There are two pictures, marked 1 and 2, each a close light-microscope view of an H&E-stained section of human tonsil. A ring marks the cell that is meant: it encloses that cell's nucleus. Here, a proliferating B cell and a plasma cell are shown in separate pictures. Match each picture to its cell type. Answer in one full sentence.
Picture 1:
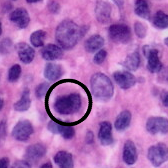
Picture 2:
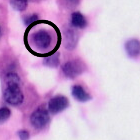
It is picture 1 that shows a proliferating B cell, and picture 2 that shows a plasma cell.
